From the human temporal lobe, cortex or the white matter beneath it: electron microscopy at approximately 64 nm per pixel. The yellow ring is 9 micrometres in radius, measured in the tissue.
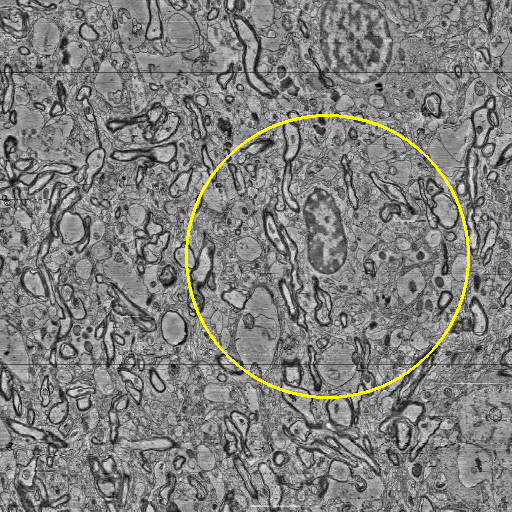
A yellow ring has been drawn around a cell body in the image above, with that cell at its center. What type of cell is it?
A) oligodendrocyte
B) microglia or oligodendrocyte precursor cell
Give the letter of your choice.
B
